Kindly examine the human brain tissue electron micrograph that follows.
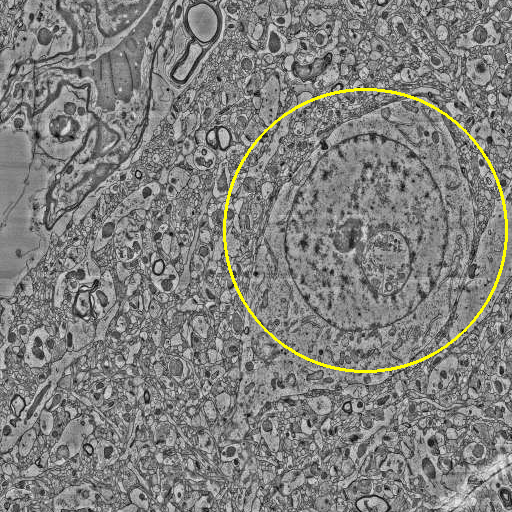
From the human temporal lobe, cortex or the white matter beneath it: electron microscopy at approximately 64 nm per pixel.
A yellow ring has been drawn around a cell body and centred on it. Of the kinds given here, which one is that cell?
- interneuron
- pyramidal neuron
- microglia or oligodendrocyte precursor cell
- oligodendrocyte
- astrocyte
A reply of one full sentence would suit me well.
The micrograph's ringed cell, the one at the ring's centre, is an interneuron.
